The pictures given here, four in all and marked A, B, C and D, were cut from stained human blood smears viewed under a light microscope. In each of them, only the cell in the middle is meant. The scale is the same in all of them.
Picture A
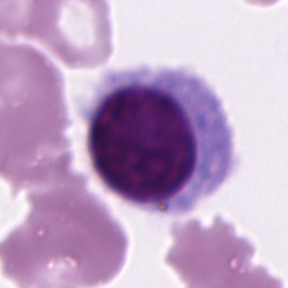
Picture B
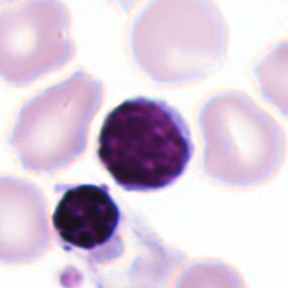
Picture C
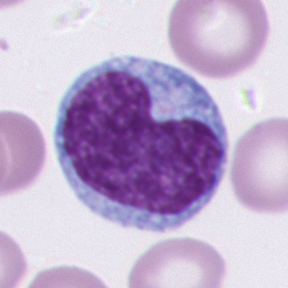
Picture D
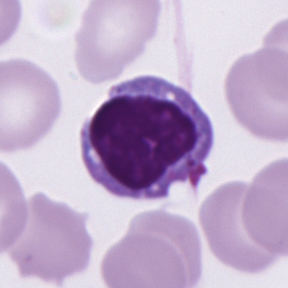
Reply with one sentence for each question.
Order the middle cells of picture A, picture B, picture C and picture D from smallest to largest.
The order is B, D, A, C, beginning with the smallest.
